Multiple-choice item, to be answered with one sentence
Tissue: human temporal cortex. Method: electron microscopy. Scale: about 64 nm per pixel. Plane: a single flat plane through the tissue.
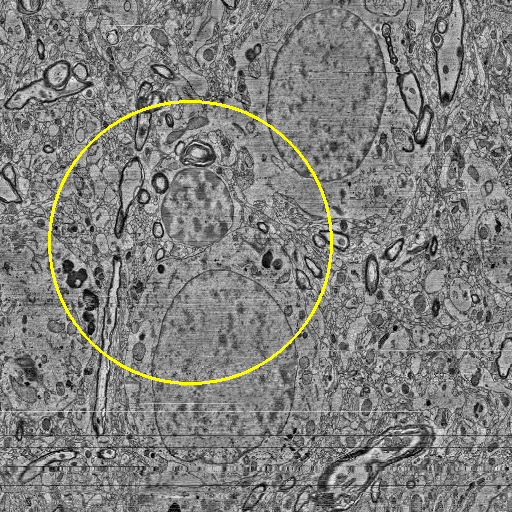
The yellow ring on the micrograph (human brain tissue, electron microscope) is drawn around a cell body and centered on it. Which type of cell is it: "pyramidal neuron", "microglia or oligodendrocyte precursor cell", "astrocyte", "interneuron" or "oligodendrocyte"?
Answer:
The ring is centered on a microglial cell or oligodendrocyte precursor cell.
